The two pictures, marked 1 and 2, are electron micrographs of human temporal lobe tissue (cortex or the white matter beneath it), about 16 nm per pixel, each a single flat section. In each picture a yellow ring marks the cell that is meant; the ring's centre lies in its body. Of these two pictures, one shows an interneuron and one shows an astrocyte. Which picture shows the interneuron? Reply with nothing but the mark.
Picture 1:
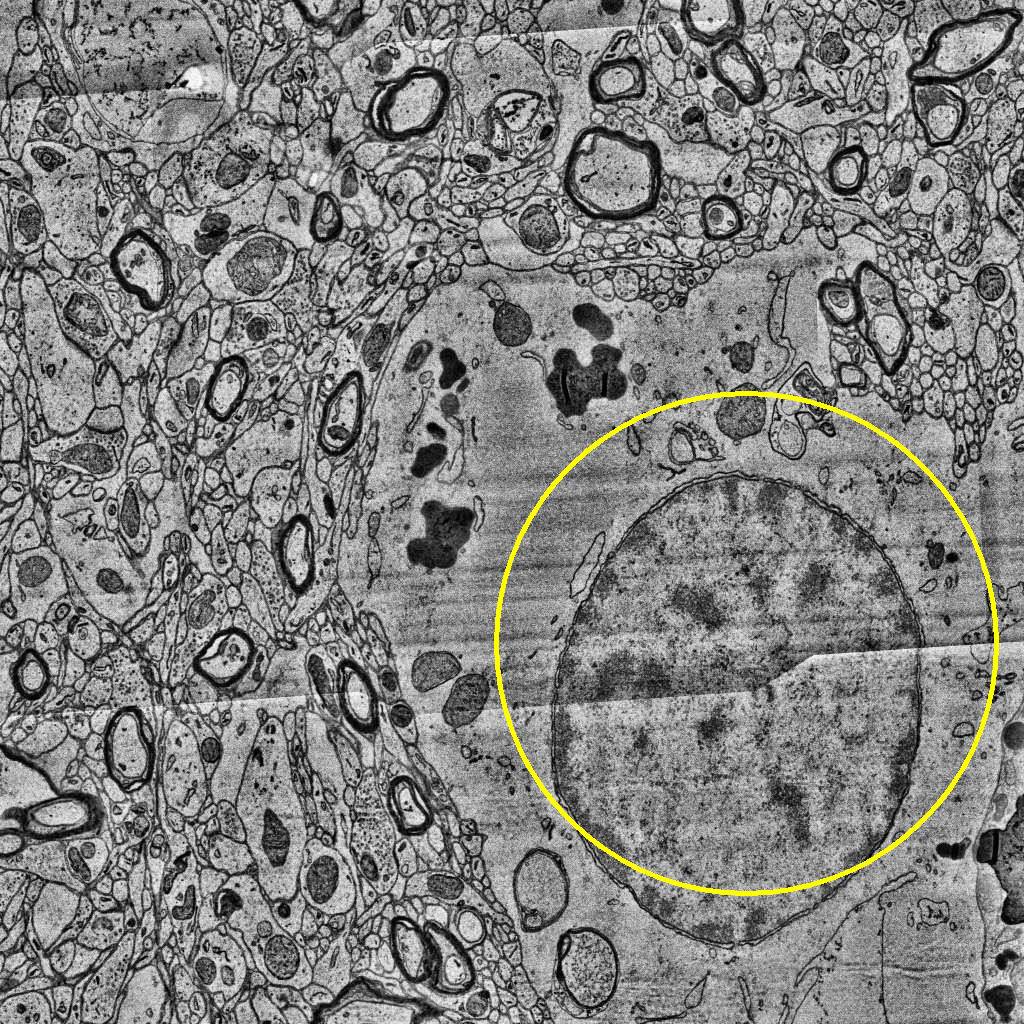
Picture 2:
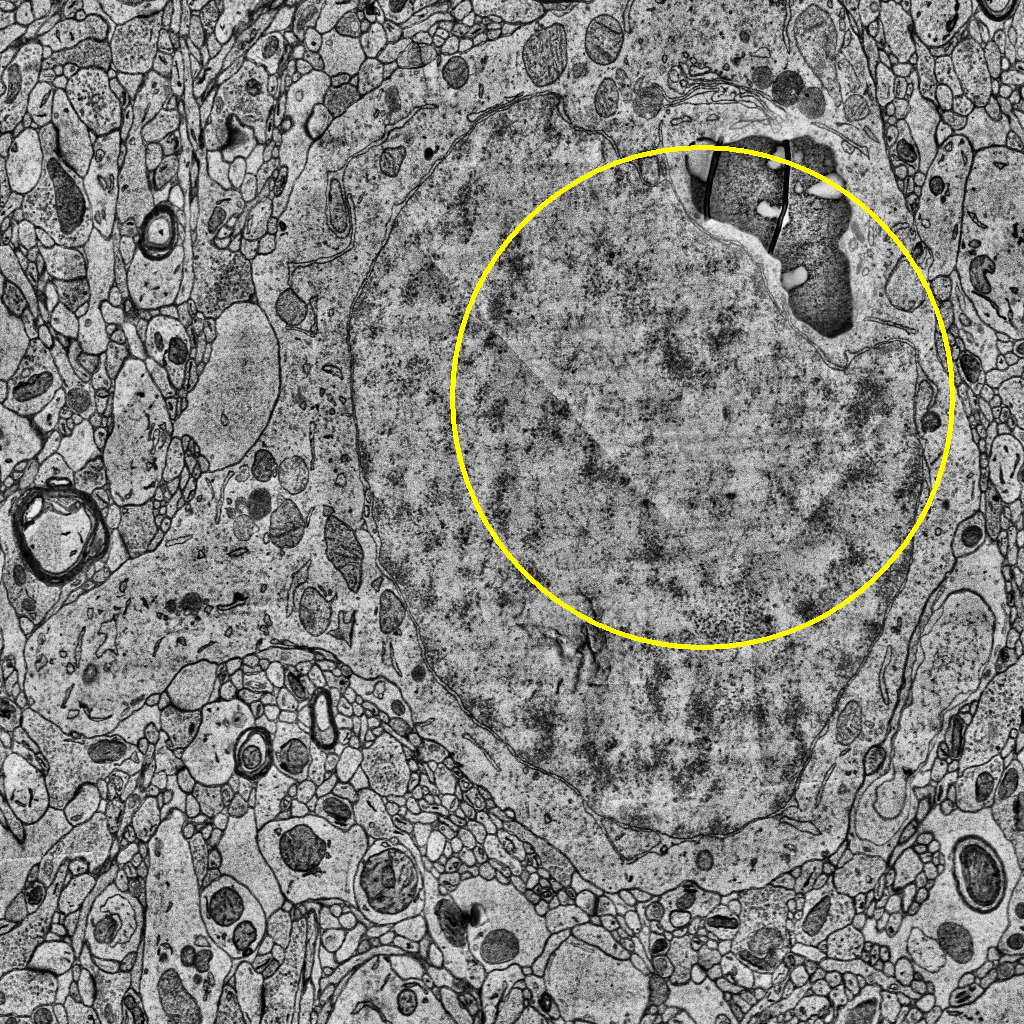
2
